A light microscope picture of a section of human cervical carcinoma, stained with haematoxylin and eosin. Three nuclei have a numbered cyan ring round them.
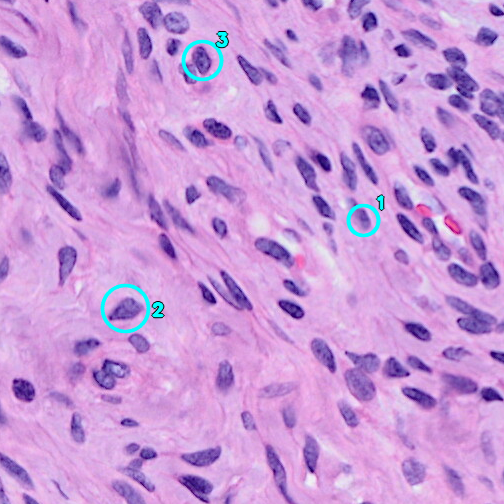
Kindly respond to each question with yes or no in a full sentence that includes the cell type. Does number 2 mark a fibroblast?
Yes, in this section the cell numbered 2 is a fibroblast.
